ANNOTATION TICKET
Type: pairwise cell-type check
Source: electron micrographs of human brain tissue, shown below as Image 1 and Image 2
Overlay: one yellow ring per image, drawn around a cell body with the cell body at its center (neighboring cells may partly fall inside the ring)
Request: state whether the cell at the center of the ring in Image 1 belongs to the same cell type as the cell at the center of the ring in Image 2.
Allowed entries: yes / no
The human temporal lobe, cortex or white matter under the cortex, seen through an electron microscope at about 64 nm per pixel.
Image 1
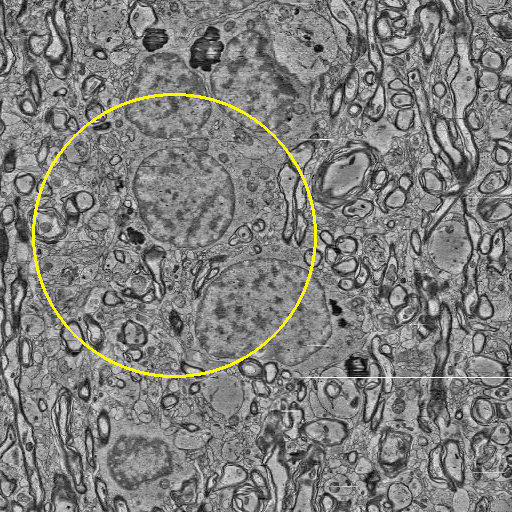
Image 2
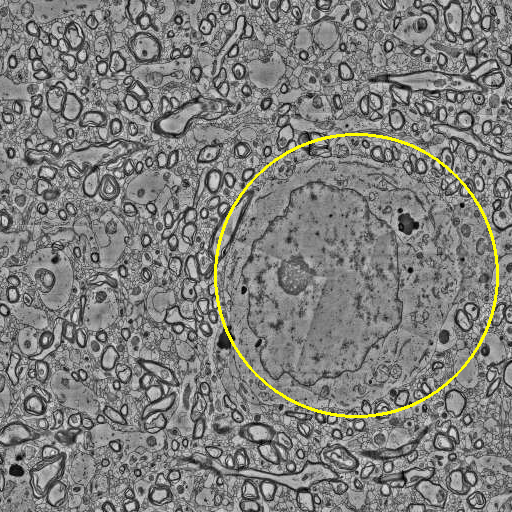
no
